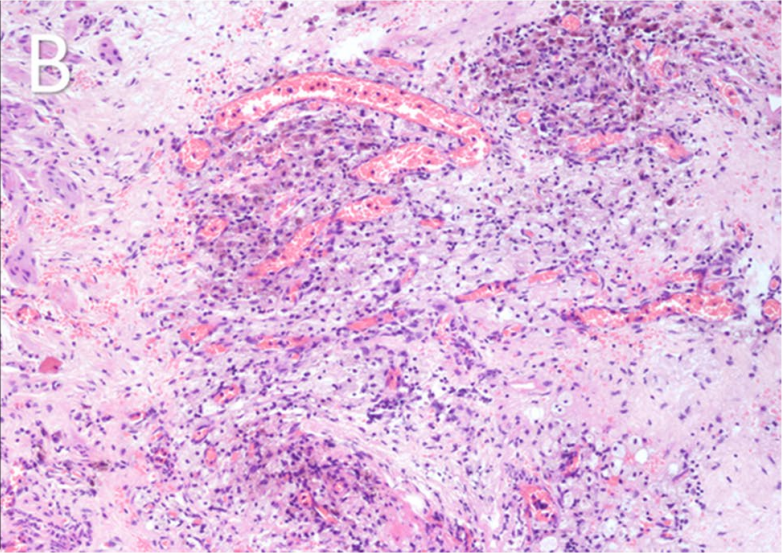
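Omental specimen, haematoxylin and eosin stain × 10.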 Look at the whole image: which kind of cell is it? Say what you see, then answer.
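Haemosiderin-laden macrophages. Clusters of rounded cells with dark brownish granular cytoplasm lie in the stroma, upper right and centre. These pigmented cells gather around the vessels.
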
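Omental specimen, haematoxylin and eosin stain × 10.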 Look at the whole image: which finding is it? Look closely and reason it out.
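Vascular congestion. Several elongated, branching vessels are packed with bright red-pink red blood cells. The vessels filled with red cells stand out across the loose stroma.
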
